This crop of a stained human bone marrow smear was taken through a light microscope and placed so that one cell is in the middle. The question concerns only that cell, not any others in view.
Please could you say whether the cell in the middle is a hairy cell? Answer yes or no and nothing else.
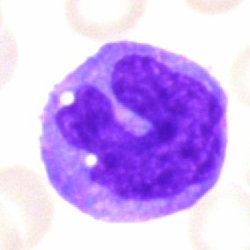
no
